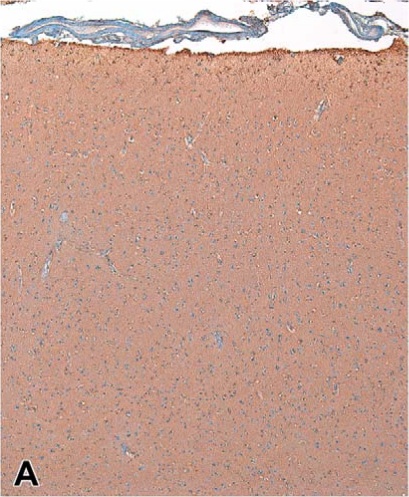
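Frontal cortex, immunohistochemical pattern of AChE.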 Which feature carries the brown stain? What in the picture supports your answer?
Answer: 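Brown stain fills the background between cells evenly across the whole cortical depth. The blue nuclei stand out against the brown background rather than being brown themselves. On this evidence: neuropil.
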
